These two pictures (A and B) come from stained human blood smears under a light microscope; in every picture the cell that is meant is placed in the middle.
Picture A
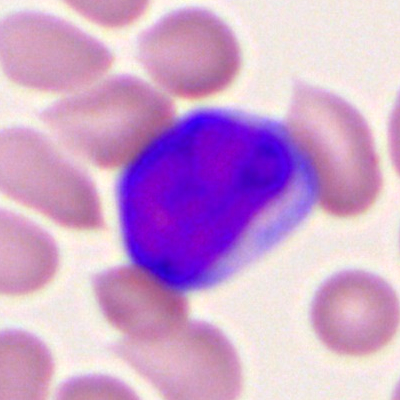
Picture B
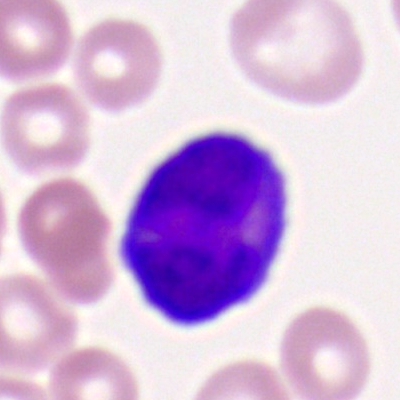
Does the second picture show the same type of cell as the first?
yes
